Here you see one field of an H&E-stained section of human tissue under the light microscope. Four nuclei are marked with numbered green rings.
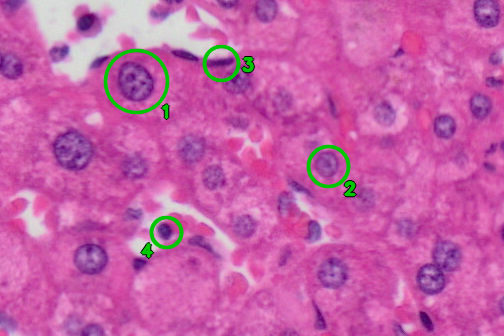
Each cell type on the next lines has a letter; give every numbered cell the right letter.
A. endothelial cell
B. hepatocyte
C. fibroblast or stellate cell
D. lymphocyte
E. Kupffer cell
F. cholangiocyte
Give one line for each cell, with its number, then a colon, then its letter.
1: B
2: B
3: C
4: D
